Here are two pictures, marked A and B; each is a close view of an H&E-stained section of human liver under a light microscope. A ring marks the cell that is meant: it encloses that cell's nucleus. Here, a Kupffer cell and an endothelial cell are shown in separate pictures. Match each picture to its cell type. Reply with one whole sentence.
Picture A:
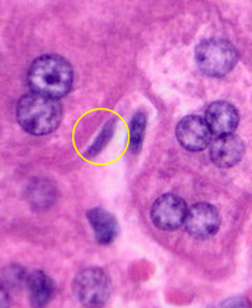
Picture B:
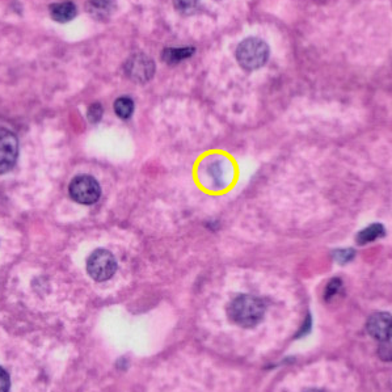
Picture B shows an endothelial cell, while picture A shows a Kupffer cell.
